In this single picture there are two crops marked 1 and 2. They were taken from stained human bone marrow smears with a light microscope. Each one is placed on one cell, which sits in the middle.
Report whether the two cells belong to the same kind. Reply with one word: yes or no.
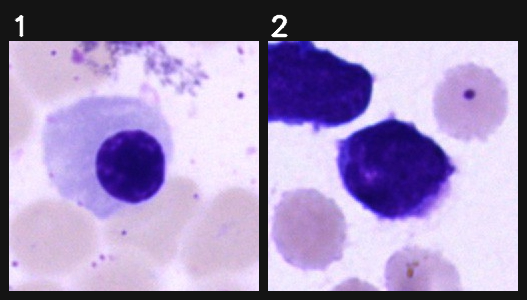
no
